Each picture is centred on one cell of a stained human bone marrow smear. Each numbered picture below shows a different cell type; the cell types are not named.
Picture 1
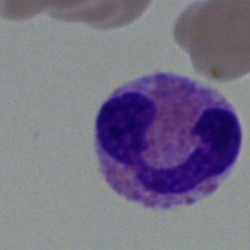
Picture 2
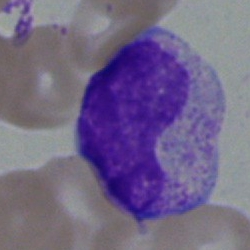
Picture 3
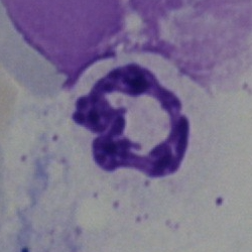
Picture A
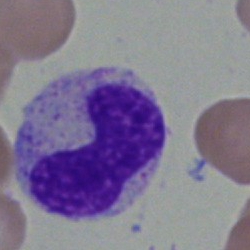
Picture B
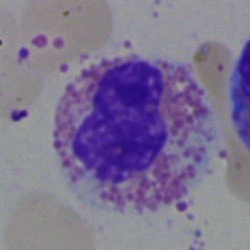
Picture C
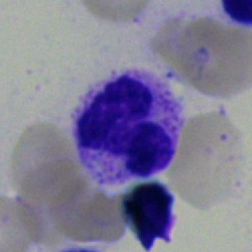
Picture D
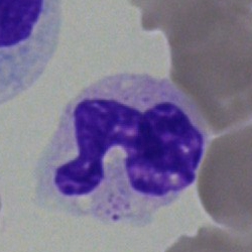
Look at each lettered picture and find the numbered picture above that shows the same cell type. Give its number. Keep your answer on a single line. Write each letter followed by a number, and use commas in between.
A 2, B 1, C 3, D 3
